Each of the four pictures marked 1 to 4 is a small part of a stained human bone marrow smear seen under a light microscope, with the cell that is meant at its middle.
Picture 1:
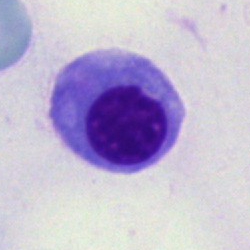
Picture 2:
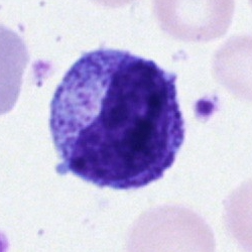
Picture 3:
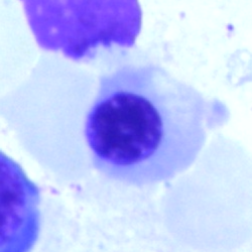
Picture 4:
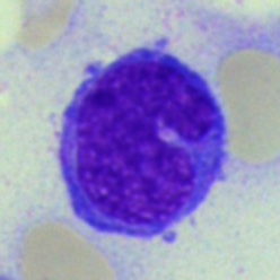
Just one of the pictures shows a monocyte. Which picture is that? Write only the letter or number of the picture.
4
